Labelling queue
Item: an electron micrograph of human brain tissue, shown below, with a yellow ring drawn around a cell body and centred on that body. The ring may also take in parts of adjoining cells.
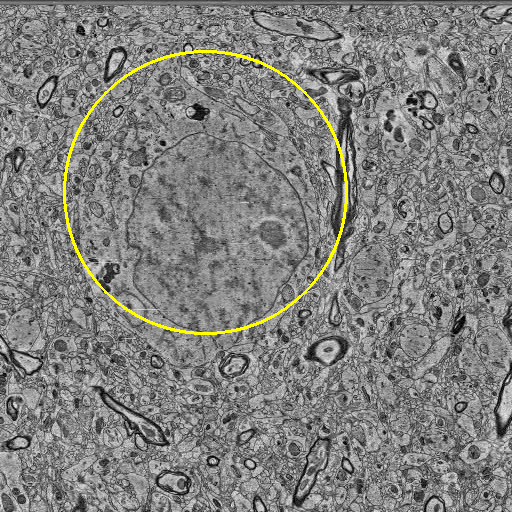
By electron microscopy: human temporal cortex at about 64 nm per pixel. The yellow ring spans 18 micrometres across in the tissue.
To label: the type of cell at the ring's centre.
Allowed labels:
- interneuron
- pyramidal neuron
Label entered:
pyramidal neuron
